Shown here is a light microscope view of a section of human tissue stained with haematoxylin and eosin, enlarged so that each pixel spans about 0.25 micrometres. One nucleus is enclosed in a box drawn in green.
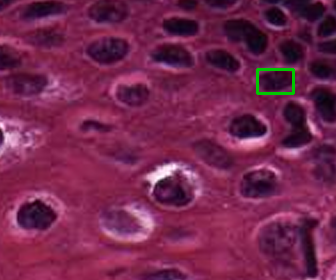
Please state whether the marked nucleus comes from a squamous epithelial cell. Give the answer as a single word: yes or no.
yes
